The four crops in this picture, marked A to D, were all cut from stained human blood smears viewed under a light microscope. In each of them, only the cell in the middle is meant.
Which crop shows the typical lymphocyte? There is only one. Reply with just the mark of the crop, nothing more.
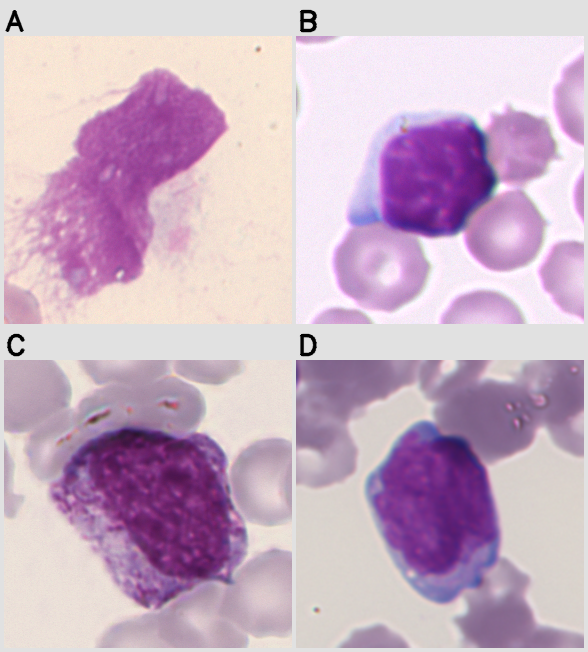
B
